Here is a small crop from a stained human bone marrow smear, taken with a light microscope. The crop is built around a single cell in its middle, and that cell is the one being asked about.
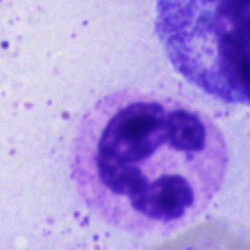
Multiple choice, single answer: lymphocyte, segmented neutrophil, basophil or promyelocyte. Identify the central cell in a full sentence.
Regarding the central cell, it is a segmented neutrophil.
